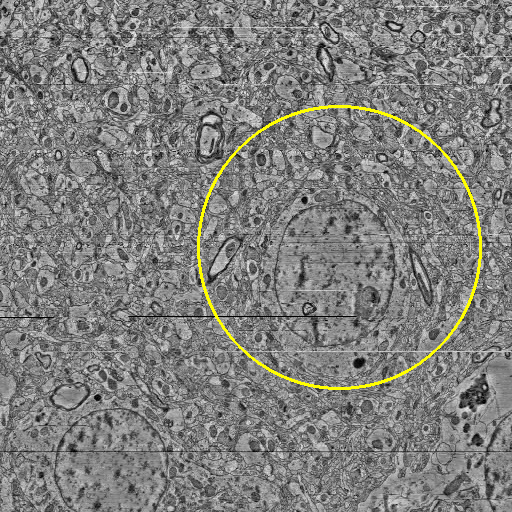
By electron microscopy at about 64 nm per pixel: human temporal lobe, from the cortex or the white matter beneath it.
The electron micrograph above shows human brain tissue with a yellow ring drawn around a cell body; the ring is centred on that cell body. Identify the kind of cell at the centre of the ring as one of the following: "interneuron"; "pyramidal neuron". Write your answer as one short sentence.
The cell at the centre of the ring is a pyramidal neuron.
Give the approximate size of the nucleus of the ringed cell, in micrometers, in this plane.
The nucleus measures about 10 by 8 micrometres in this plane.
